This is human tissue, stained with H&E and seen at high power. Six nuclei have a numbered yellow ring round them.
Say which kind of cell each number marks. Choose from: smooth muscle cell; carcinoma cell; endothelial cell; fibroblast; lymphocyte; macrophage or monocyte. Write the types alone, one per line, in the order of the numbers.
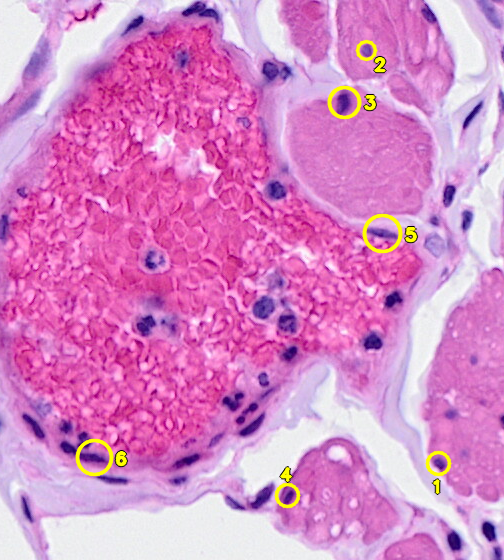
smooth muscle cell
smooth muscle cell
smooth muscle cell
smooth muscle cell
endothelial cell
endothelial cell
